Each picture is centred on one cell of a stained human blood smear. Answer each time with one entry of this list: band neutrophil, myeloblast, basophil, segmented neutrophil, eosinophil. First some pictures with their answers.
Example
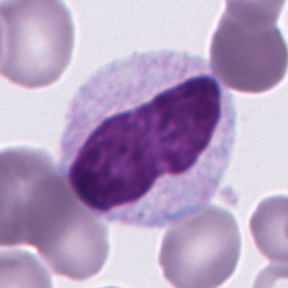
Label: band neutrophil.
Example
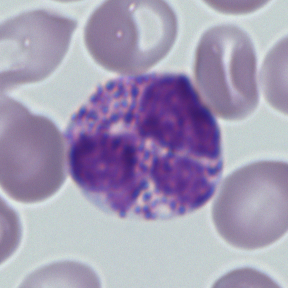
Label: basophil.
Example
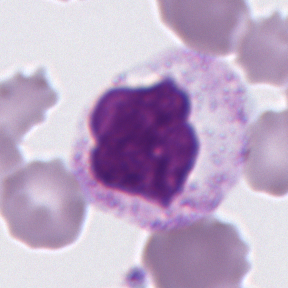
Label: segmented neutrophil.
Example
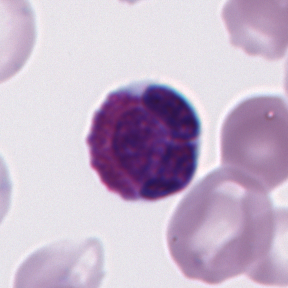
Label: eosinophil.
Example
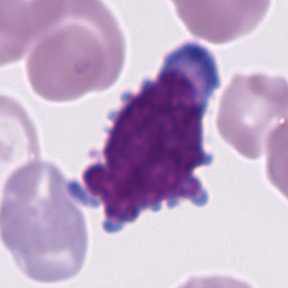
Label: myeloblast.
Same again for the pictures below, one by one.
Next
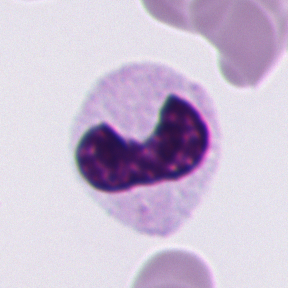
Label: band neutrophil.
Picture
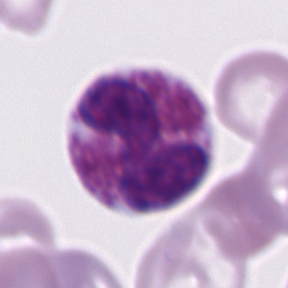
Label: eosinophil.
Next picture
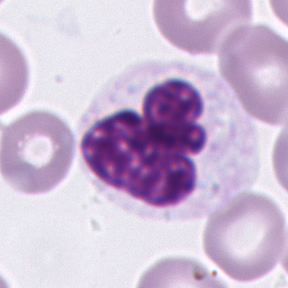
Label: segmented neutrophil.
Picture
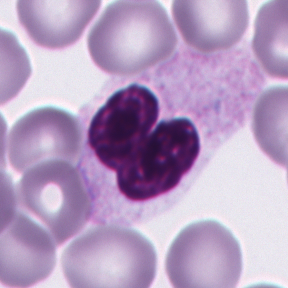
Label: segmented neutrophil.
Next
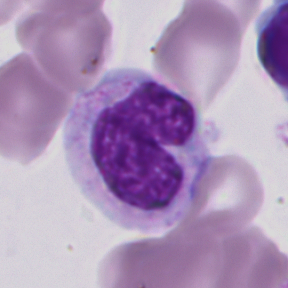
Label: band neutrophil.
